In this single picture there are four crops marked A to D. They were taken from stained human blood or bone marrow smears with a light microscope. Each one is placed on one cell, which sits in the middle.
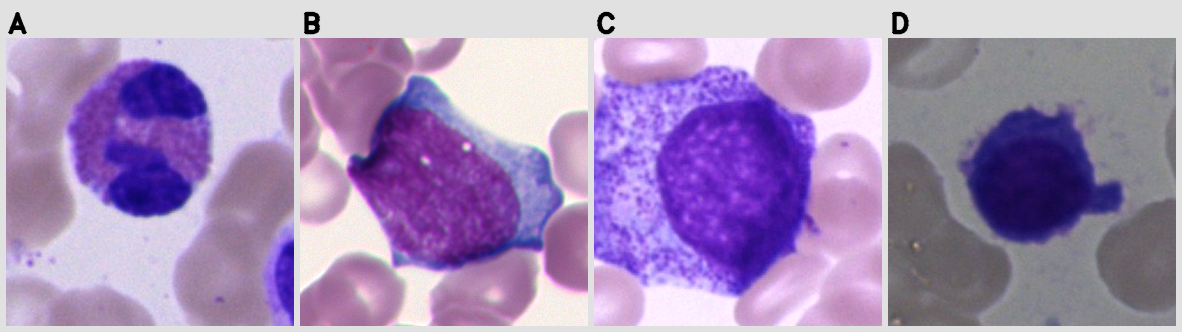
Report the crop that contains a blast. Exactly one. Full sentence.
The one that shows a blast is crop B.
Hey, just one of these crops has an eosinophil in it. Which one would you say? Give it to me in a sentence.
The sole crop showing an eosinophil is crop A.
